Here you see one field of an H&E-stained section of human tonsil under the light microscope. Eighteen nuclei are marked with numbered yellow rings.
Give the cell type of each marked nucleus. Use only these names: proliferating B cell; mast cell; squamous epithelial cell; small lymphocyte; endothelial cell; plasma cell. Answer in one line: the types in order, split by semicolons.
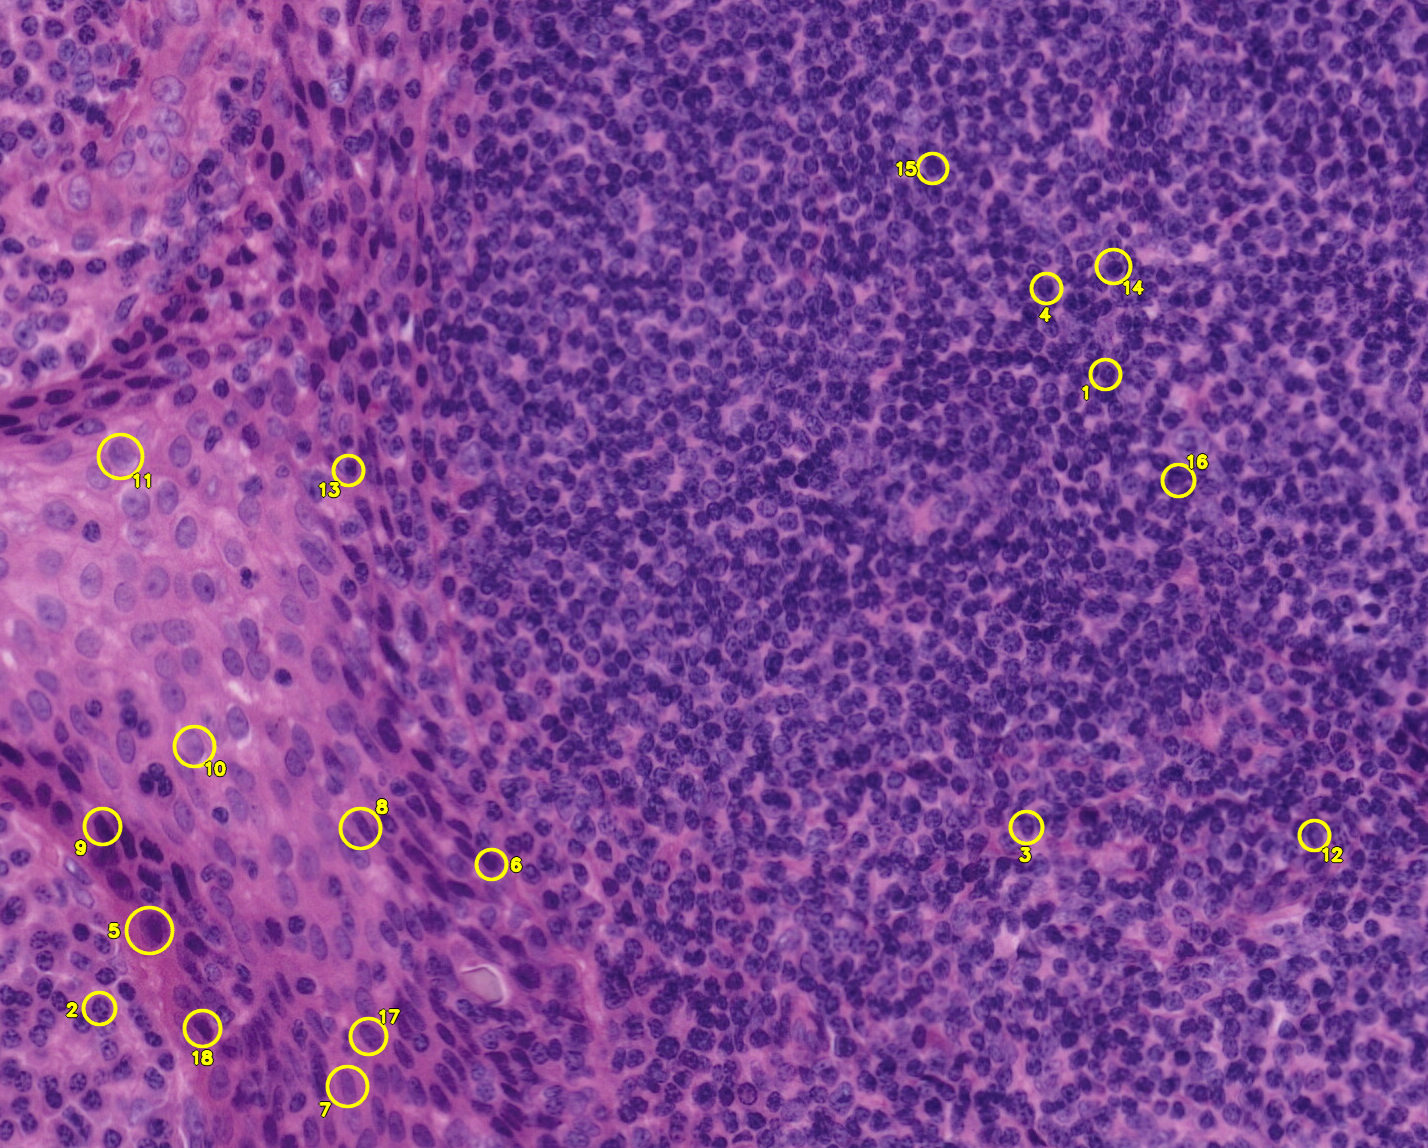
small lymphocyte; plasma cell; small lymphocyte; small lymphocyte; squamous epithelial cell; squamous epithelial cell; squamous epithelial cell; squamous epithelial cell; squamous epithelial cell; squamous epithelial cell; squamous epithelial cell; small lymphocyte; squamous epithelial cell; small lymphocyte; small lymphocyte; small lymphocyte; squamous epithelial cell; squamous epithelial cell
